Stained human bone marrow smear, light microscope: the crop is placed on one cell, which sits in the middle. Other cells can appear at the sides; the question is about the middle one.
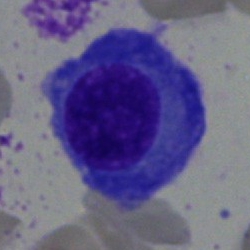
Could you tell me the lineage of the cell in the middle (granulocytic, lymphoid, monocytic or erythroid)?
lymphoid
